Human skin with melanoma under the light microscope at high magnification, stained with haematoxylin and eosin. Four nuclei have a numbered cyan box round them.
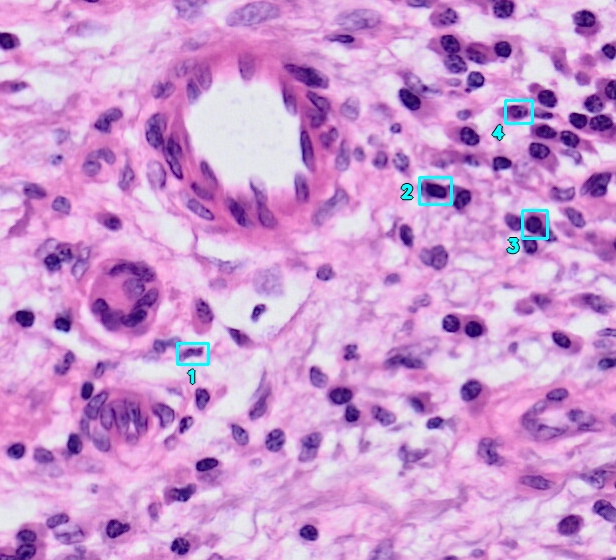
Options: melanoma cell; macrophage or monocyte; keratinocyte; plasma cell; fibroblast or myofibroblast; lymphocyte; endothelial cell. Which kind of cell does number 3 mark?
plasma cell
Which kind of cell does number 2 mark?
plasma cell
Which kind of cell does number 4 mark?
plasma cell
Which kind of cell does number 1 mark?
fibroblast or myofibroblast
